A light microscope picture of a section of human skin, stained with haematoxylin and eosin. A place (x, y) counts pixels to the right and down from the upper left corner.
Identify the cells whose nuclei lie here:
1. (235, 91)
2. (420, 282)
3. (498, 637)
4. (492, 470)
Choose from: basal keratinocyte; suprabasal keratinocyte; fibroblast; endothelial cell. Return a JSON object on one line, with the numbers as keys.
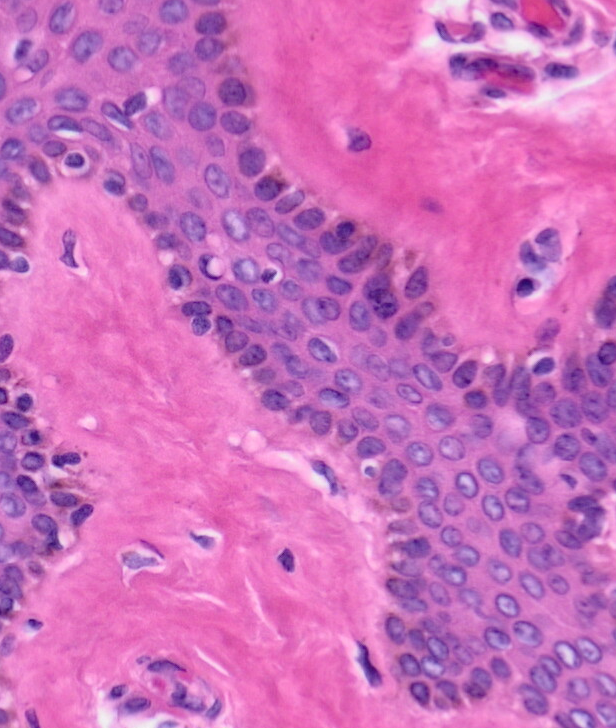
{"1": "basal keratinocyte", "2": "basal keratinocyte", "3": "suprabasal keratinocyte", "4": "suprabasal keratinocyte"}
